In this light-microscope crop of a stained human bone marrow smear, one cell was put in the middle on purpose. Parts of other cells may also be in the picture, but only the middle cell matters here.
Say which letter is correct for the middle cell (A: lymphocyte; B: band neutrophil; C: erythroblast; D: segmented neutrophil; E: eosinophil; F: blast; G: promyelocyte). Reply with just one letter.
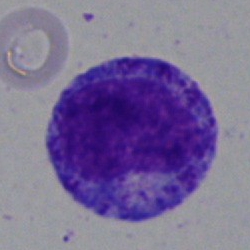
G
